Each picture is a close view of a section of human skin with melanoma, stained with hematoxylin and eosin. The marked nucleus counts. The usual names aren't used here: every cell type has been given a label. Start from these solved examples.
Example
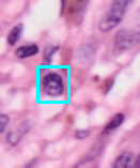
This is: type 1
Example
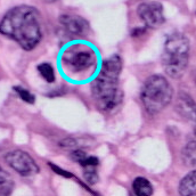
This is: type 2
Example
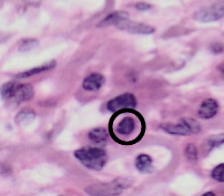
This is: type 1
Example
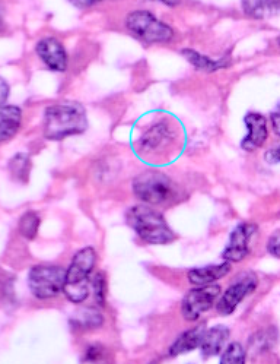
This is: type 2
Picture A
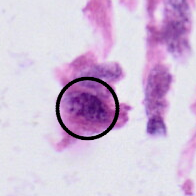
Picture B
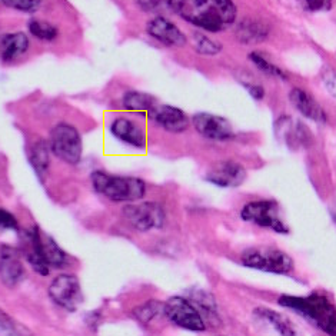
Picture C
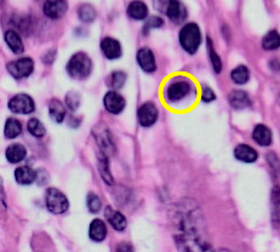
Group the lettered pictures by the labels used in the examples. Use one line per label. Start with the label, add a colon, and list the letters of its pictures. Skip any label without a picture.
type 1: C
type 2: A, B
